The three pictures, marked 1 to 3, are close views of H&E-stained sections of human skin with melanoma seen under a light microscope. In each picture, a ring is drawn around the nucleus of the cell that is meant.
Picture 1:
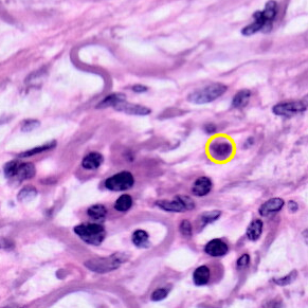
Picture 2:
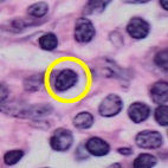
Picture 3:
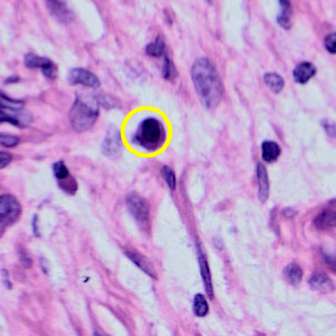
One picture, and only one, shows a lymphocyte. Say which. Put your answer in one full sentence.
The cell in picture 2 is the lymphocyte.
